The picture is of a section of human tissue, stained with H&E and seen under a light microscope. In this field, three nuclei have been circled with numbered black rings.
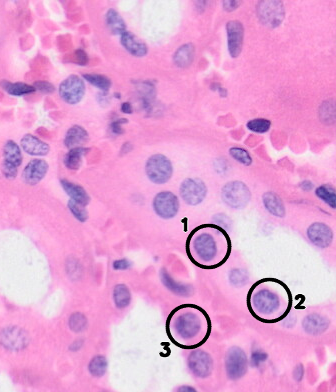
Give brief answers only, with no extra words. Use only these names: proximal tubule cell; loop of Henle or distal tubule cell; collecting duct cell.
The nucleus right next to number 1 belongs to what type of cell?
collecting duct cell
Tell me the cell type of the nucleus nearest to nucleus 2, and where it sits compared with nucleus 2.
a collecting duct cell, below and to the right of nucleus 2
